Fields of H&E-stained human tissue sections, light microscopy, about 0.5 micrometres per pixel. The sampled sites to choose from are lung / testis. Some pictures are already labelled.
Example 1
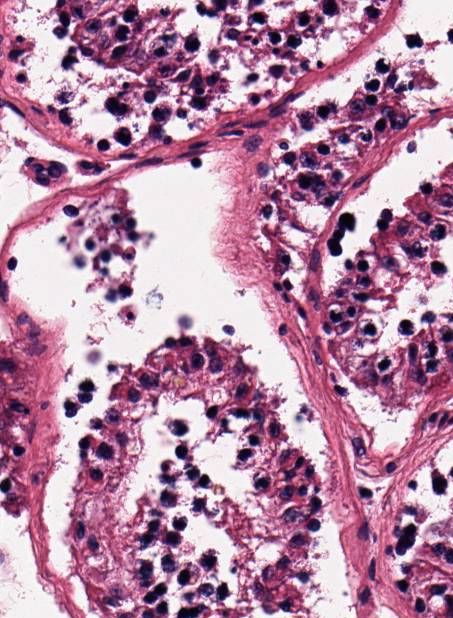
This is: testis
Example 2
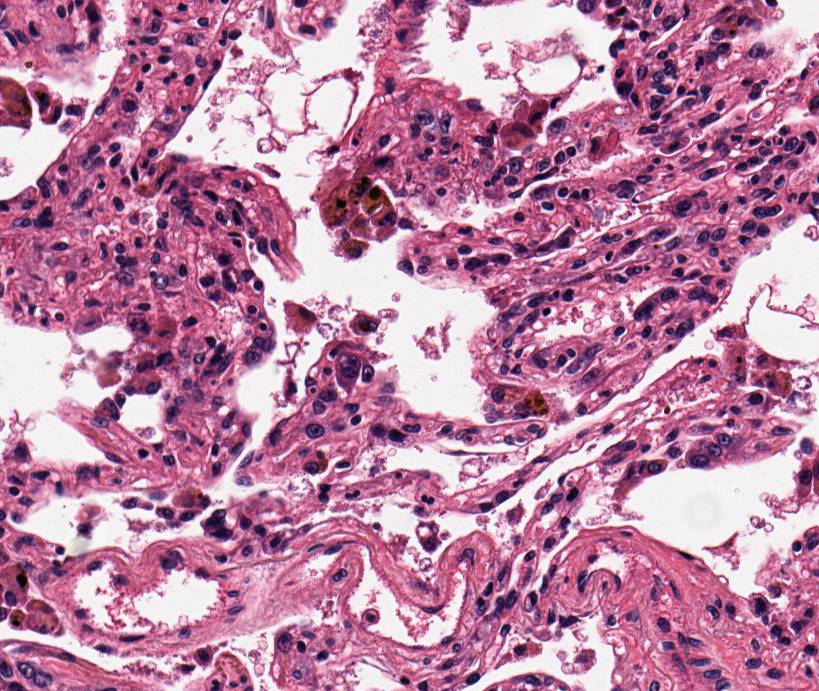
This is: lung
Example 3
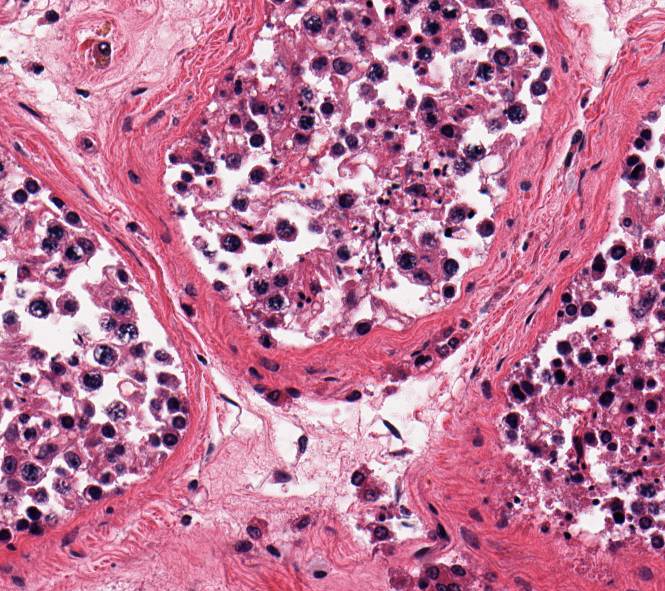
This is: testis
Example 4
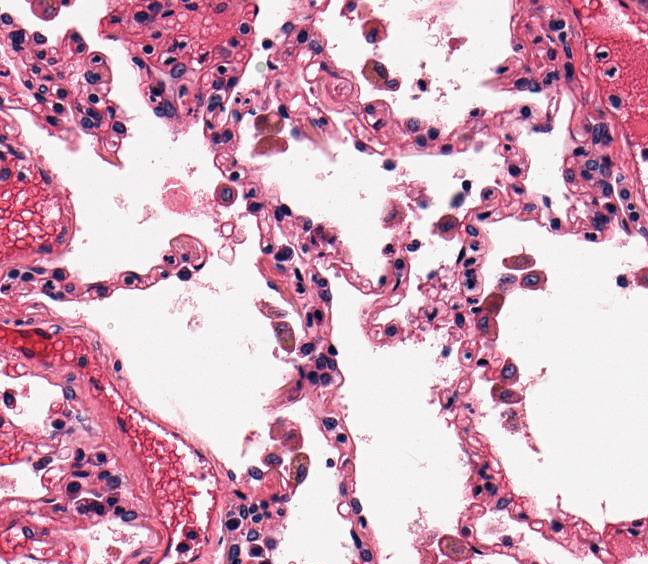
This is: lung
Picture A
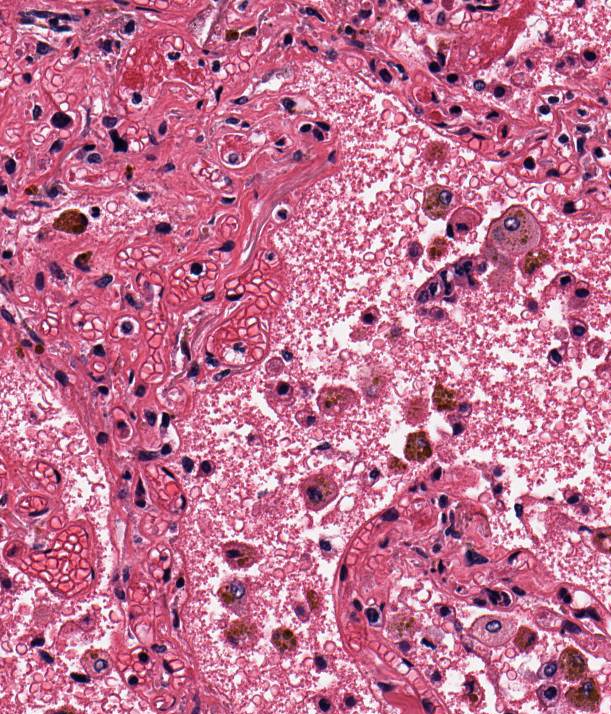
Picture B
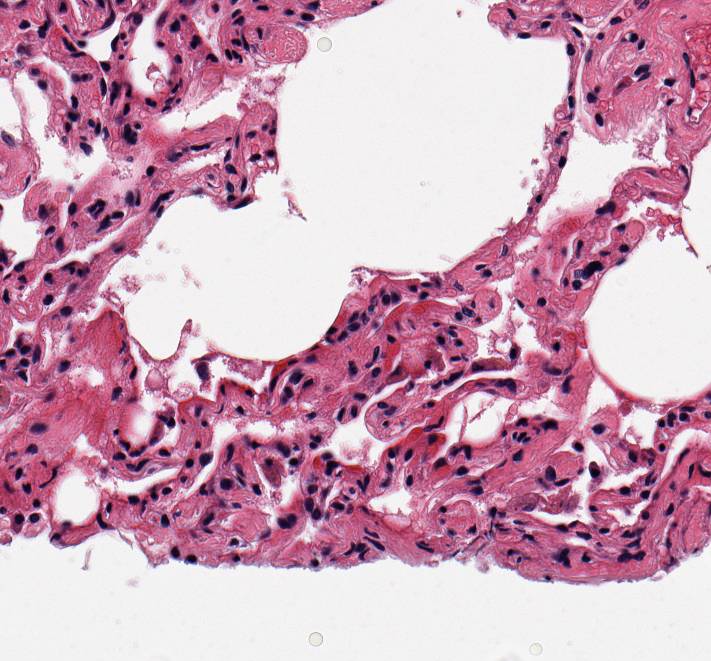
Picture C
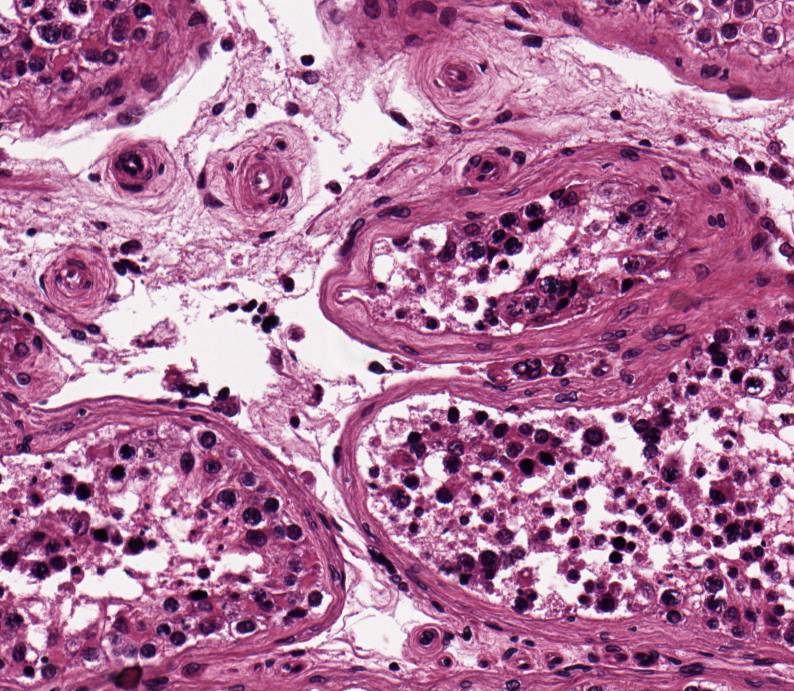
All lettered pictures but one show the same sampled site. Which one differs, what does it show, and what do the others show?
C: testis; all the others: lung.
